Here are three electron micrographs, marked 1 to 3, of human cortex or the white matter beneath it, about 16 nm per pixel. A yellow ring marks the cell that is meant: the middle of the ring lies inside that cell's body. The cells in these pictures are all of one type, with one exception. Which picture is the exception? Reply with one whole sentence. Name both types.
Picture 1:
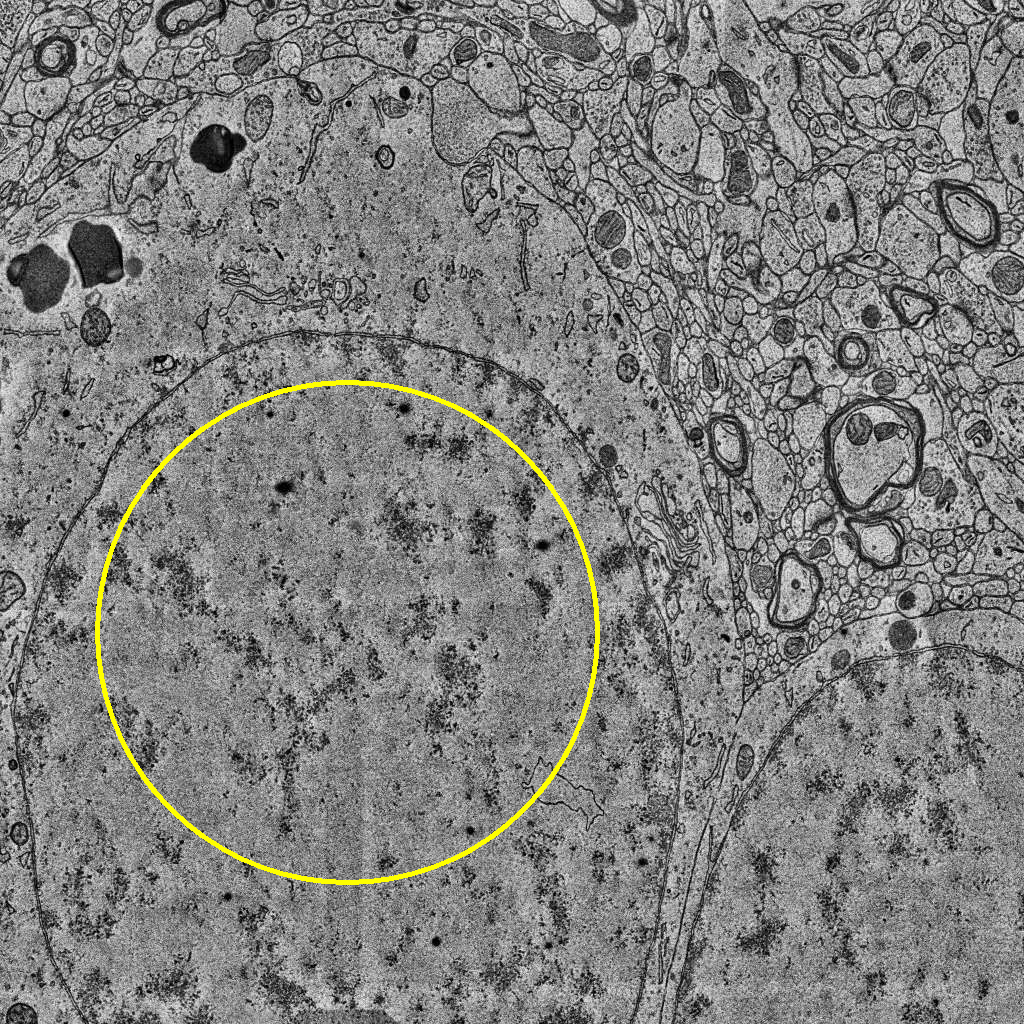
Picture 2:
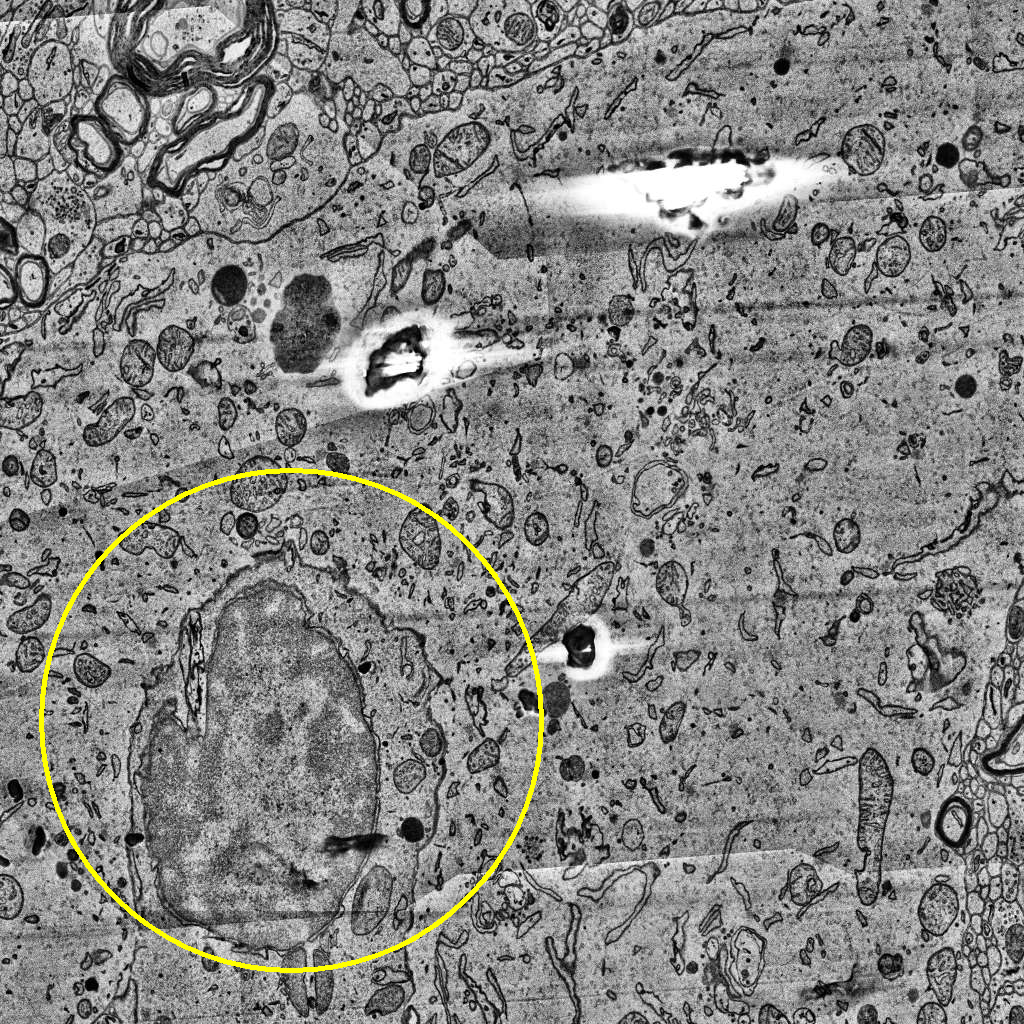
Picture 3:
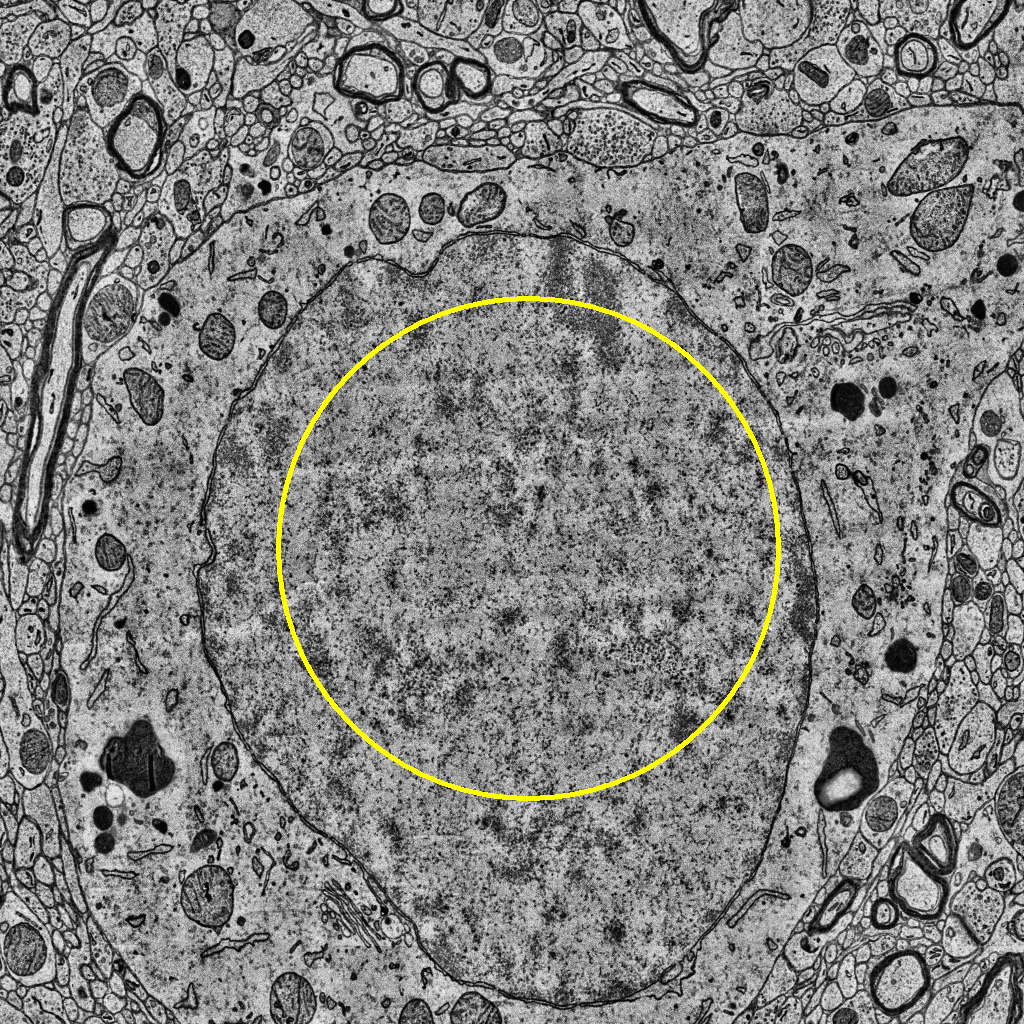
All pictures except 2 show pyramidal neurons; picture 2 shows an oligodendrocyte.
